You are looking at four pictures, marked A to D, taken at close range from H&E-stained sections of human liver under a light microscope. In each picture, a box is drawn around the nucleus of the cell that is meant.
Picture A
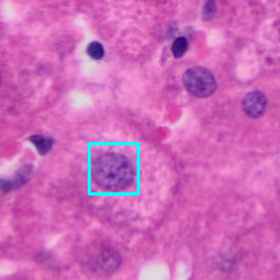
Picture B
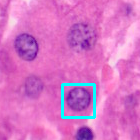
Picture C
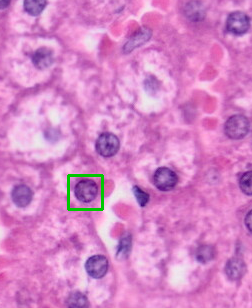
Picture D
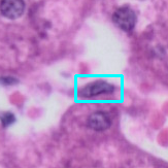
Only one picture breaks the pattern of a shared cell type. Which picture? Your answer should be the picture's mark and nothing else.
D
